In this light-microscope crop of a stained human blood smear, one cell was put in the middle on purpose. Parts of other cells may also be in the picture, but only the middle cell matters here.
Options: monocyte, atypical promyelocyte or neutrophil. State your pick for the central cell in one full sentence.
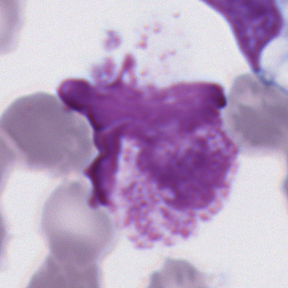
The cell around which this crop is centred is a neutrophil.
